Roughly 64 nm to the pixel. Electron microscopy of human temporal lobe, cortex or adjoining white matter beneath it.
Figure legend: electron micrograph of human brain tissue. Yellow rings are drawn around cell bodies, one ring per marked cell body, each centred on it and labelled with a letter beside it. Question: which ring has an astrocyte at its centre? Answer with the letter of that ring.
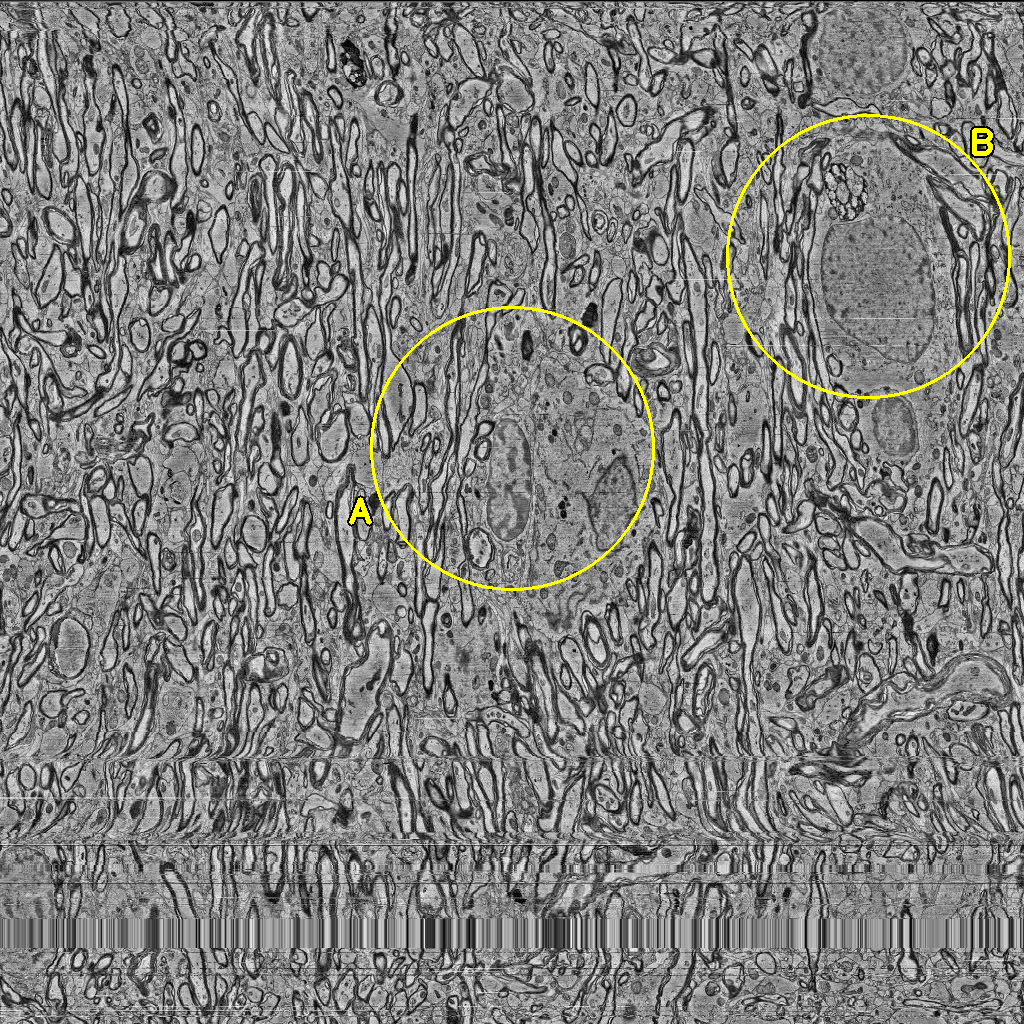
B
